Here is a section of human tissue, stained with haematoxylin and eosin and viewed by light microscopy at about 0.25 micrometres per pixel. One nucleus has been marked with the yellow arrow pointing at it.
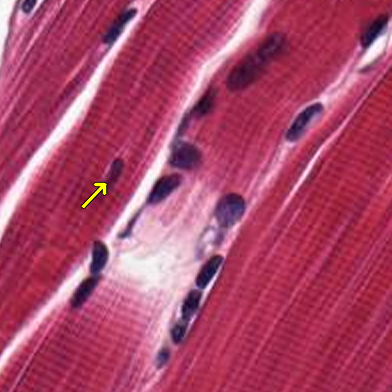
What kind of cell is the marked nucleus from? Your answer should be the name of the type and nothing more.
skeletal muscle fibre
